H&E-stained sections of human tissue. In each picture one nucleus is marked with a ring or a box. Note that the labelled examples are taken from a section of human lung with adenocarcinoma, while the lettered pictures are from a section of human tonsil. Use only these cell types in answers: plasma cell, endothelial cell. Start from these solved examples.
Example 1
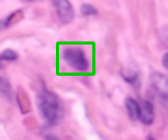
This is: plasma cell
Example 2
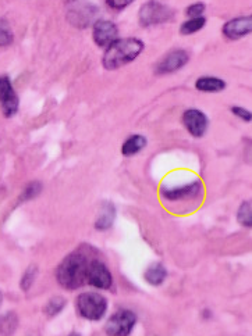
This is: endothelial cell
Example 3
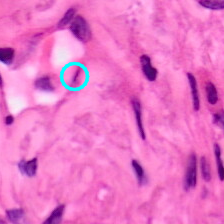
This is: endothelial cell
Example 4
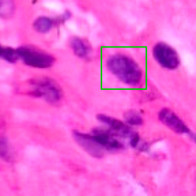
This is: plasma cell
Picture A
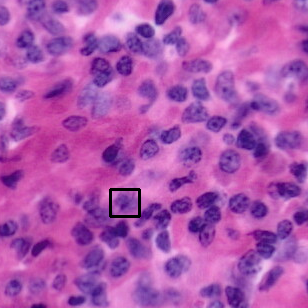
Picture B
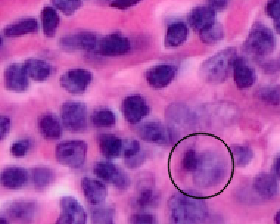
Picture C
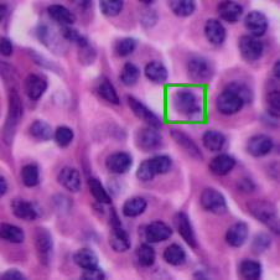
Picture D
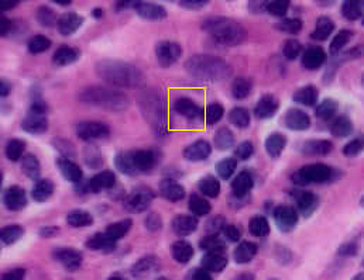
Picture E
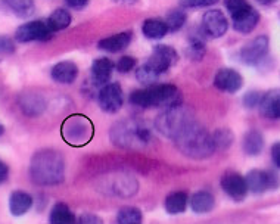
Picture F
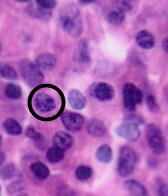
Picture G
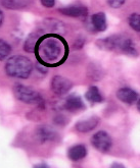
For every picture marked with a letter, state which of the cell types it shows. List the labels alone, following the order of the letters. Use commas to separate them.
endothelial cell, endothelial cell, plasma cell, endothelial cell, endothelial cell, plasma cell, plasma cell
